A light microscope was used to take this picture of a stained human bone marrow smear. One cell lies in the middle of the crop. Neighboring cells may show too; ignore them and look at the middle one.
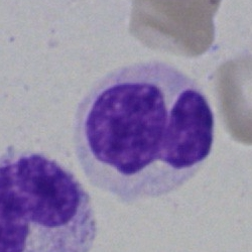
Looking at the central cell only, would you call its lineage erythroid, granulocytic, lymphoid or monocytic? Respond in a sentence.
In this crop, the central cell belongs to the granulocytic lineage.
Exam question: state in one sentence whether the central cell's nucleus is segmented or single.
One defining trait here is a nucleus of two or more segments.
